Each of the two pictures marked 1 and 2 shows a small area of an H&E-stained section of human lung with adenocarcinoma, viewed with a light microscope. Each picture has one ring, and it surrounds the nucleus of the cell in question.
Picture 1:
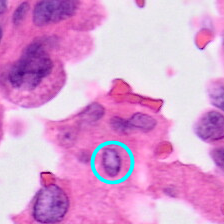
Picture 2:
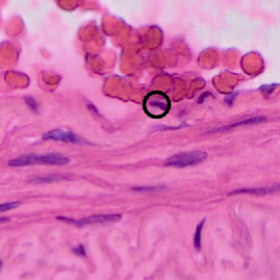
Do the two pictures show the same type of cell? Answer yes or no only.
no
